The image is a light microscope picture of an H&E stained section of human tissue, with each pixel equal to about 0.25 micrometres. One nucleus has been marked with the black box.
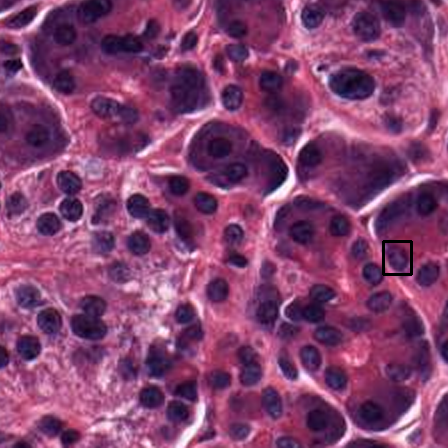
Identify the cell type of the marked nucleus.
pancreatic acinar cell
